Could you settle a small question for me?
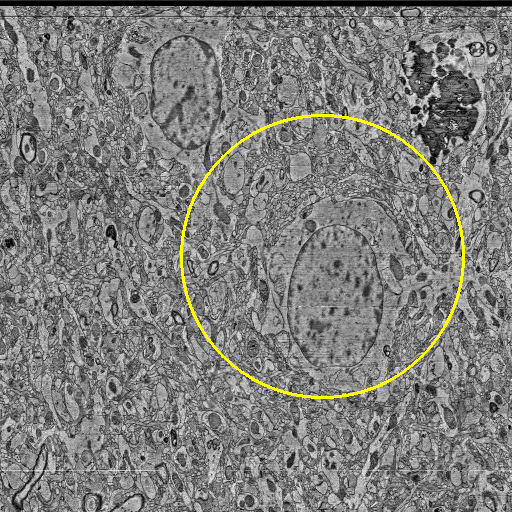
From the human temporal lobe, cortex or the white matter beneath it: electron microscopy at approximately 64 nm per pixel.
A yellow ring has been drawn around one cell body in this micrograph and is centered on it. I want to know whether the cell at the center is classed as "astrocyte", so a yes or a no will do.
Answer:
yes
